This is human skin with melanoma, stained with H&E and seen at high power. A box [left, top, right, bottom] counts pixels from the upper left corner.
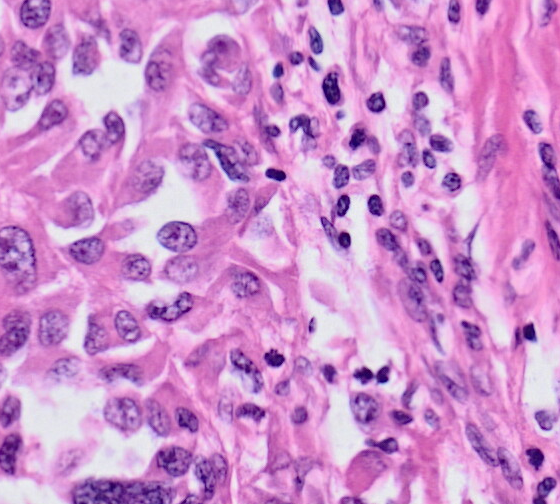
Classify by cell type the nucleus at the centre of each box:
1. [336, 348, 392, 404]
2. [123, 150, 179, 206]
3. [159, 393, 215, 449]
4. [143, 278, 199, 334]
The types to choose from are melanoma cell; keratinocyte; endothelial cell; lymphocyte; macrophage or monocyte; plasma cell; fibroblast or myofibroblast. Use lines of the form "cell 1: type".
cell 1: lymphocyte
cell 2: melanoma cell
cell 3: melanoma cell
cell 4: melanoma cell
